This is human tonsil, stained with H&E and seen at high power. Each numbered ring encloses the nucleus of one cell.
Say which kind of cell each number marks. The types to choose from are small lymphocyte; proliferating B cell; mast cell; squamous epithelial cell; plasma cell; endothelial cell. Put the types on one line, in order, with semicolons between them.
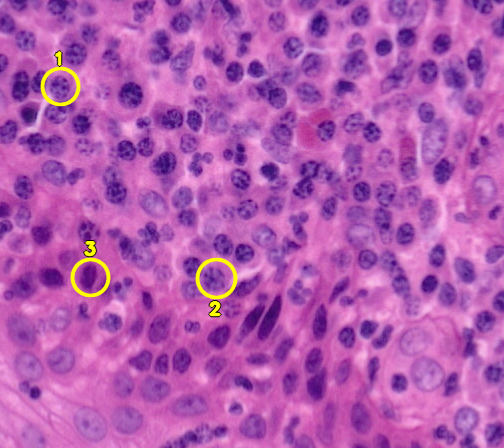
plasma cell; plasma cell; squamous epithelial cell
